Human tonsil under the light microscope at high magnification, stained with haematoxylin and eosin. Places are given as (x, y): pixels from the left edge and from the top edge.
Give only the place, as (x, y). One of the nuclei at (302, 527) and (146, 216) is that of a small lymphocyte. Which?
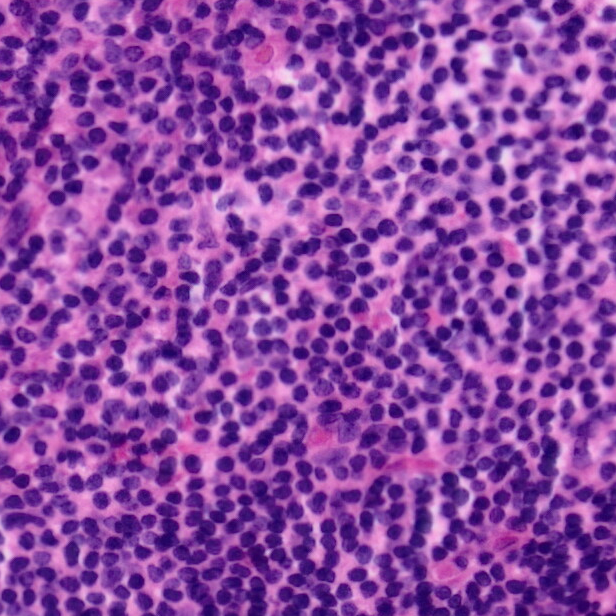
(302, 527)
